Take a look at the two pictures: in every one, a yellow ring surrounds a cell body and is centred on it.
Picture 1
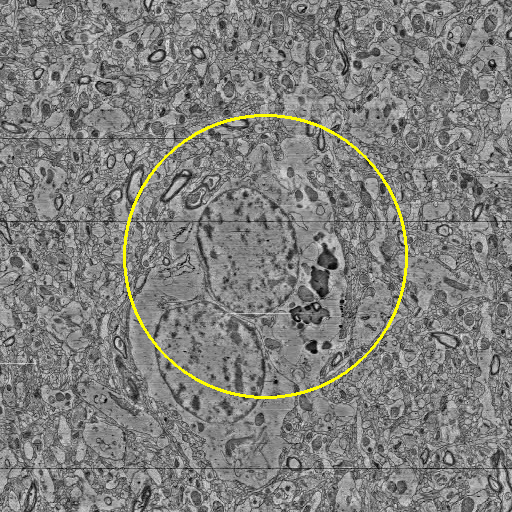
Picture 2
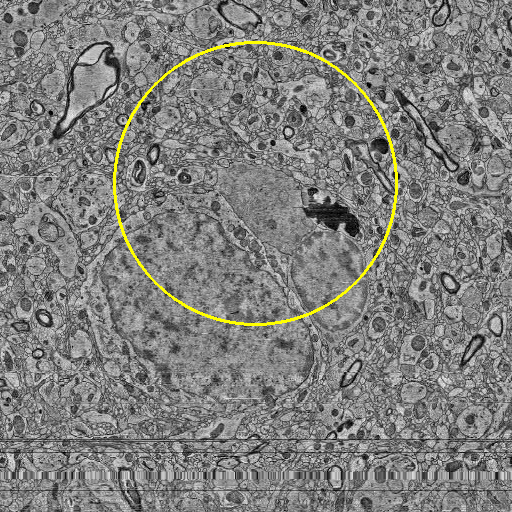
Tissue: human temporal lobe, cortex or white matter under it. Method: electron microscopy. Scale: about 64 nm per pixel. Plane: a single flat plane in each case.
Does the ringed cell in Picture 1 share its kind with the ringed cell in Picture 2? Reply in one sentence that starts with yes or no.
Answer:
No, the two centred cells, one per picture, are of two kinds.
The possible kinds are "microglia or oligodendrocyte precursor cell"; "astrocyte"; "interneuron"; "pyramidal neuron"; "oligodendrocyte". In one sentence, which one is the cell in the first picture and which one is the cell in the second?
The cell ringed in the second picture is an oligodendrocyte, whereas the one ringed in the first is an astrocyte.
